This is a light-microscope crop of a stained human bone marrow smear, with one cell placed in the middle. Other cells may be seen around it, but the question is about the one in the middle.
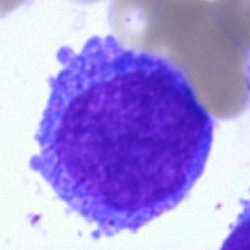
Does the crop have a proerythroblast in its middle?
no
